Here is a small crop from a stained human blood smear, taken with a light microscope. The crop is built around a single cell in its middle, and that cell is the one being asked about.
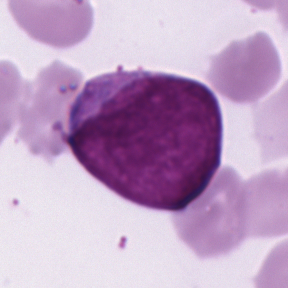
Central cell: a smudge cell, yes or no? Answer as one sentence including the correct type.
No, the central cell does not represent a smudge cell, but a myeloblast.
